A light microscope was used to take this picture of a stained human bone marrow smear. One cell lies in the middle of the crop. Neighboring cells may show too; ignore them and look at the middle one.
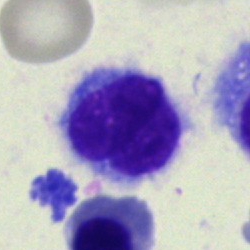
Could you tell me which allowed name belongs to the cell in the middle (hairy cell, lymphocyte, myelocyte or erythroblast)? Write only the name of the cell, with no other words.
hairy cell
